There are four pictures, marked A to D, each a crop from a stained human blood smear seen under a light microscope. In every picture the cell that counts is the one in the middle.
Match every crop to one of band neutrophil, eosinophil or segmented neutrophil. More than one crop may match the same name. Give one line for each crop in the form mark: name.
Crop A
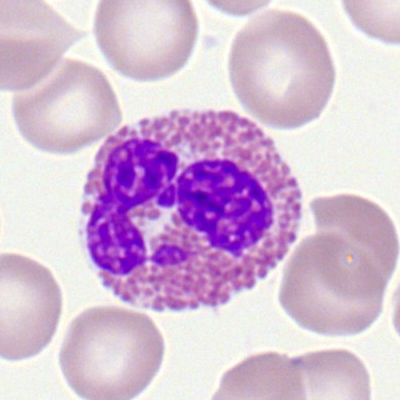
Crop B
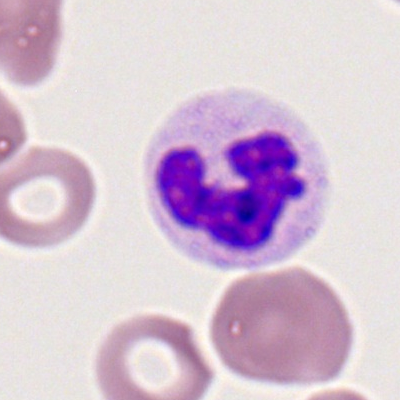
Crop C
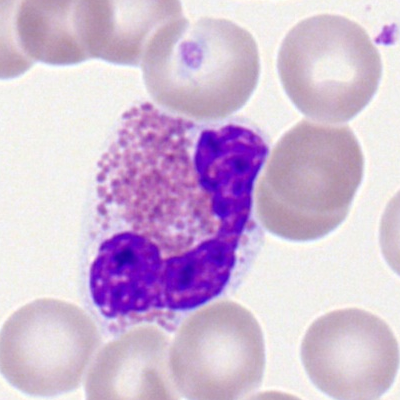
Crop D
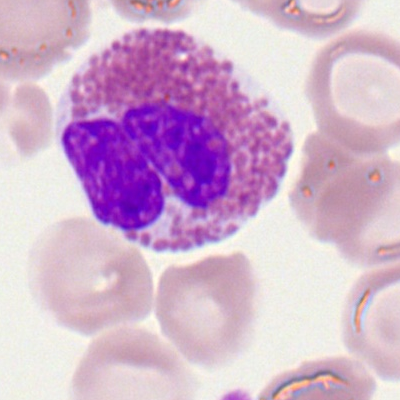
A: eosinophil
B: segmented neutrophil
C: eosinophil
D: eosinophil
